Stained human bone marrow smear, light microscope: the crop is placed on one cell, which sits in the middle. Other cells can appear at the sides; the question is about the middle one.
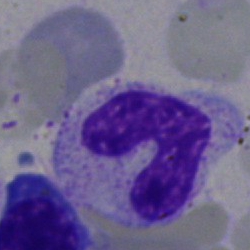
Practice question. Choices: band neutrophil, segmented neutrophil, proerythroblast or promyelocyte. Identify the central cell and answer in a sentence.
The centered cell in this crop is a band neutrophil.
